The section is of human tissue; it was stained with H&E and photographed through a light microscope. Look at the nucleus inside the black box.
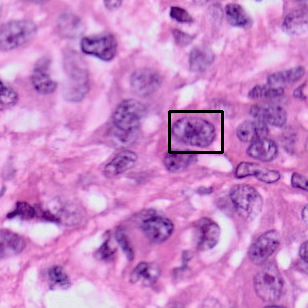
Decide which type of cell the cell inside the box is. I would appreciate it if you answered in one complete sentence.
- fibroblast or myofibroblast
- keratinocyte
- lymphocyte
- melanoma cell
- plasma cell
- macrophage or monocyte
Just put down that the cell inside the box is a melanoma cell.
